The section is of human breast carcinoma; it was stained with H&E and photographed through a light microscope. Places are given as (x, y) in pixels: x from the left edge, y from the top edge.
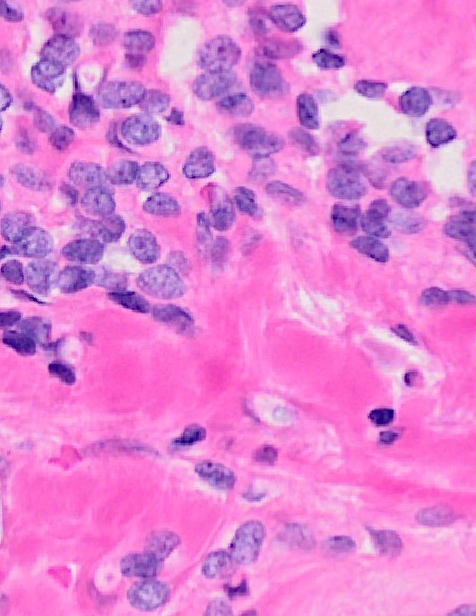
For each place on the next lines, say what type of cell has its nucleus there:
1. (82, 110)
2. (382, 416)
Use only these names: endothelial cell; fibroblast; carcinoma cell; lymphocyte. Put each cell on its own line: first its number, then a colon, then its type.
1: carcinoma cell
2: lymphocyte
